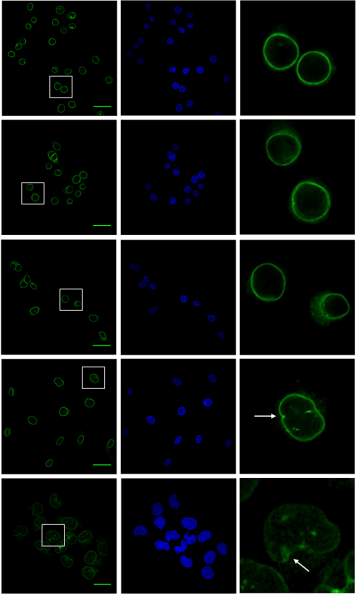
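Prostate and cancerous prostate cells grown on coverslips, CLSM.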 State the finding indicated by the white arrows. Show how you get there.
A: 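Nuclear deformities. The arrowed nuclei in the enlarged views have an irregular outline instead of a smooth ring. Lines of green rim signal run into the interior of the arrowed nuclei.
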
